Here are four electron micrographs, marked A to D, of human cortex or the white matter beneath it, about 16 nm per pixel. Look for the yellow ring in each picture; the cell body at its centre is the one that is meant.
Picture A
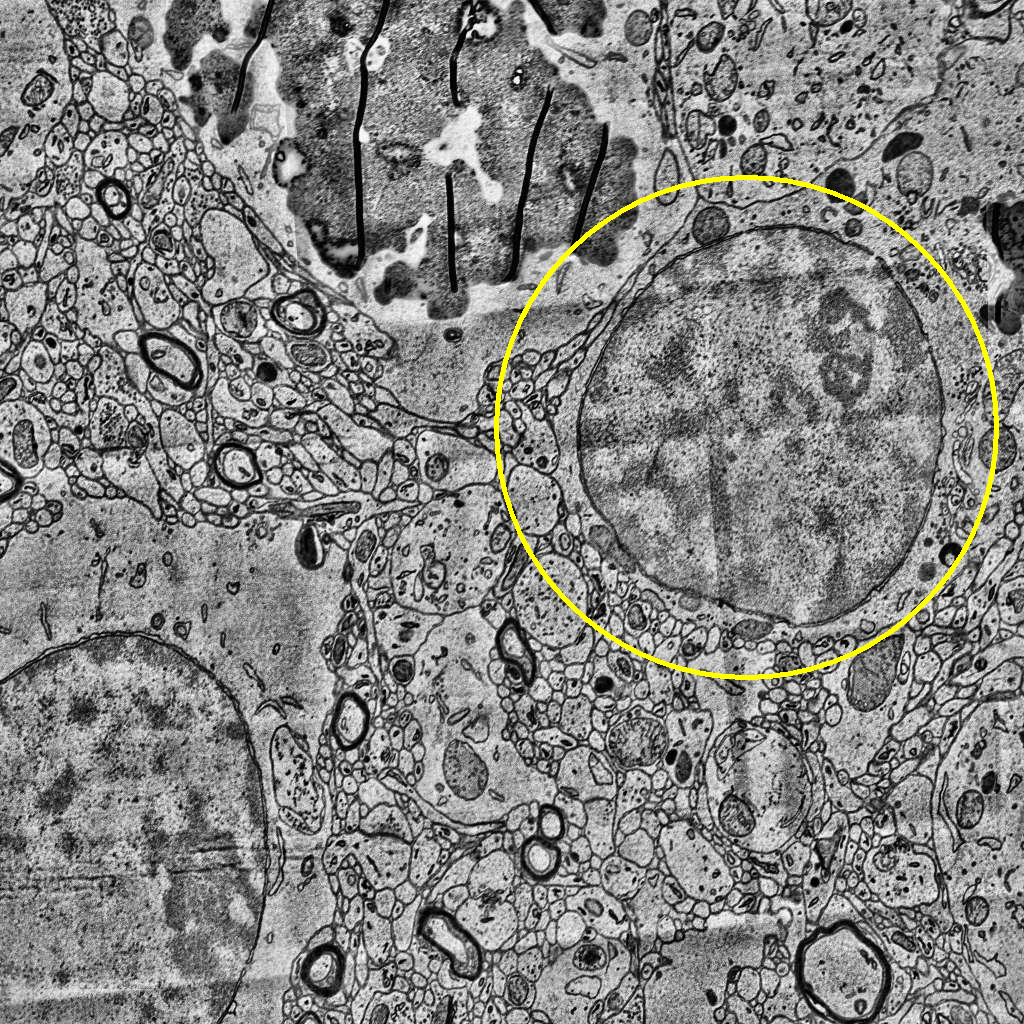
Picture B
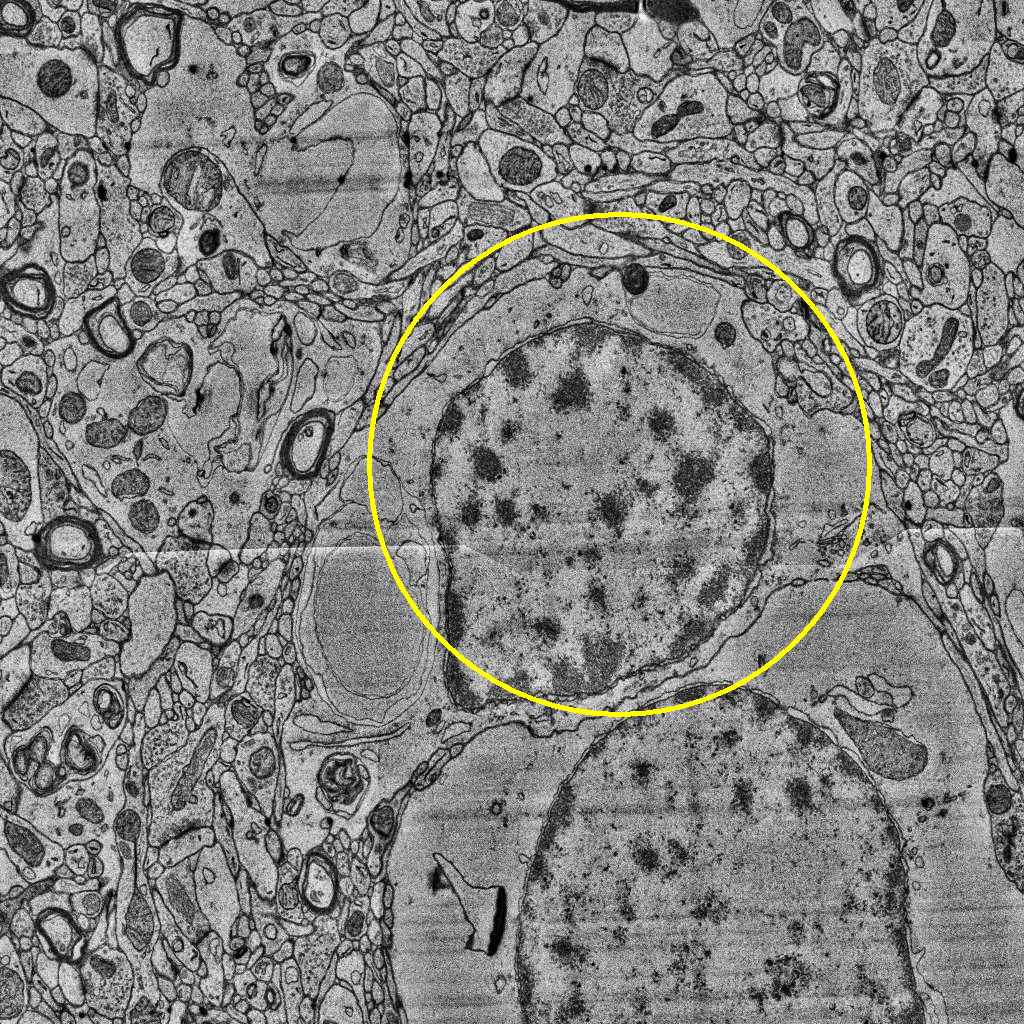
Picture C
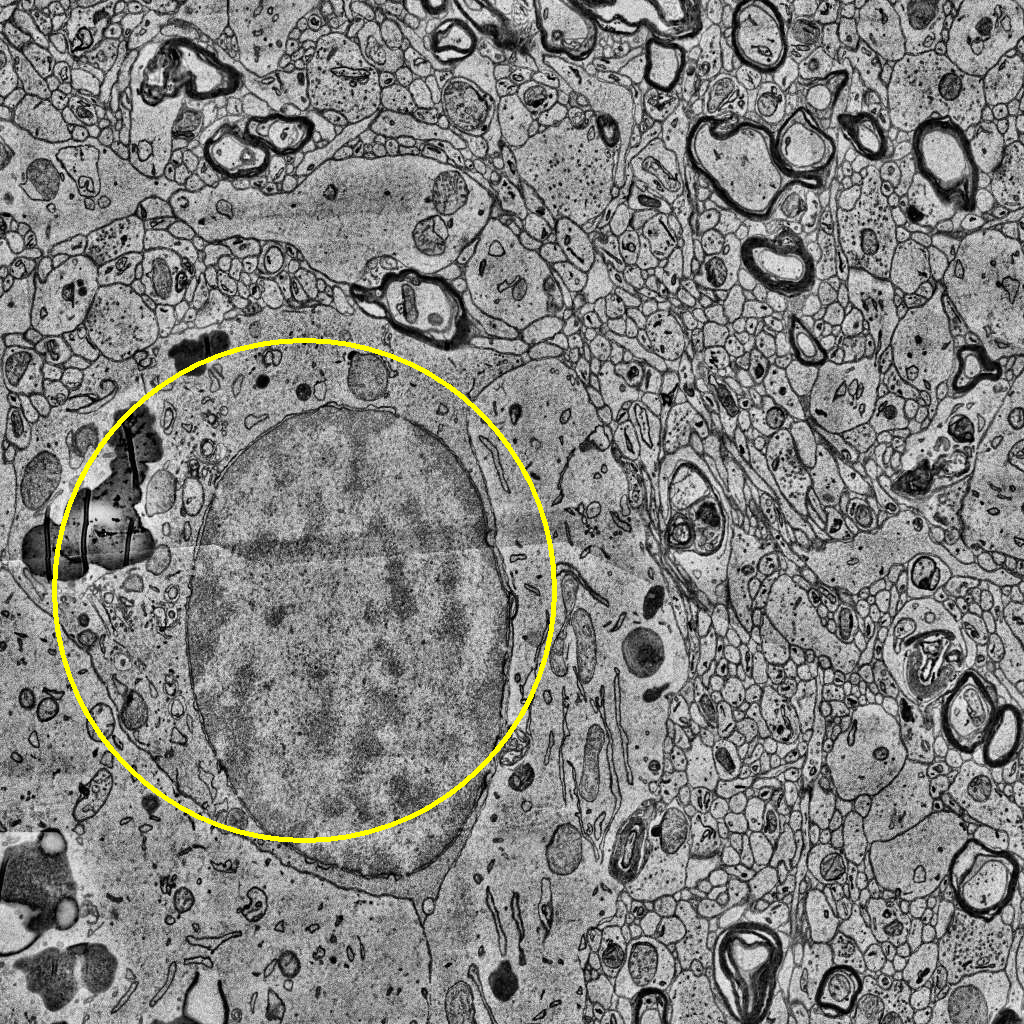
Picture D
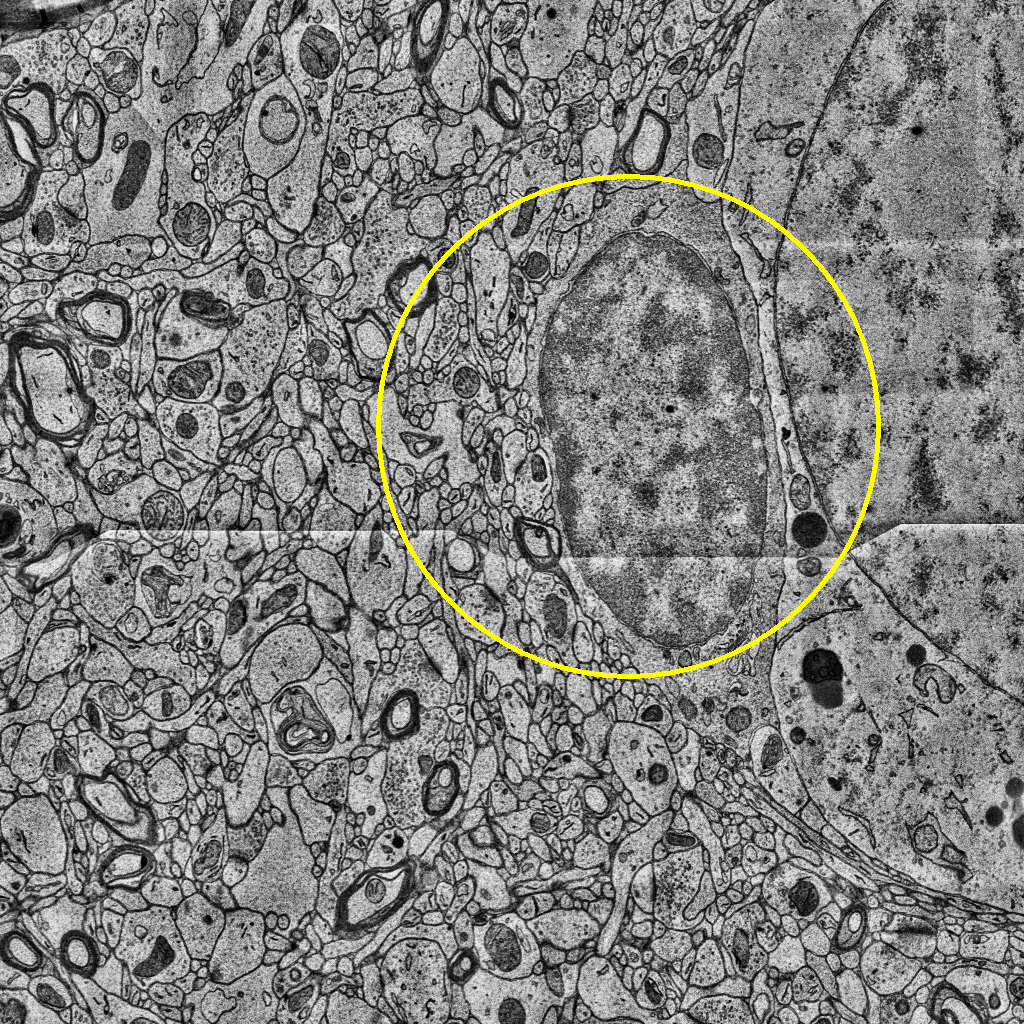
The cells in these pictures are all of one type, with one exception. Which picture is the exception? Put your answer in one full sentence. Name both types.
The others show oligodendrocytes, but picture B shows an astrocyte.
